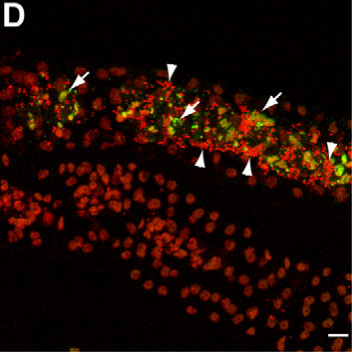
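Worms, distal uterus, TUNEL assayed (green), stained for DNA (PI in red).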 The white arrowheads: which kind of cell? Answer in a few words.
Sperm cells.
